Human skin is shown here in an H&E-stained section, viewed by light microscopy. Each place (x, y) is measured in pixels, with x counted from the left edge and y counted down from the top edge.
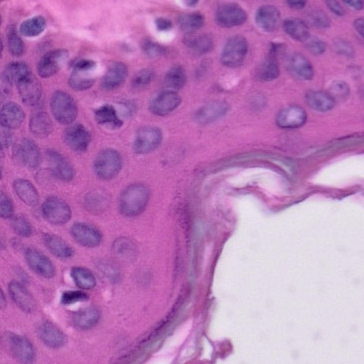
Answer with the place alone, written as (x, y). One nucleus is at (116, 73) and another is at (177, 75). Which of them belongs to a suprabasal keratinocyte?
(177, 75)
